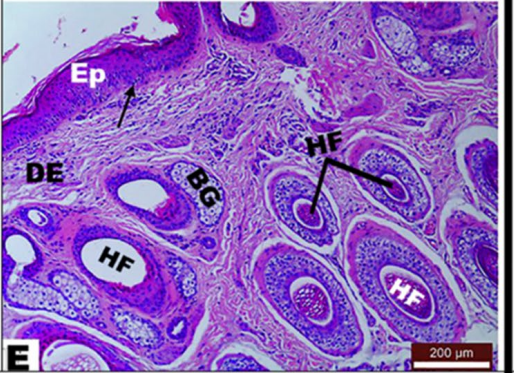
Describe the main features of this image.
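This section of skin shows a stratified squamous epidermis over a dermis crowded with hair follicles and sebaceous glands. The epidermis is a purple layer of several cell rows with a thin pink keratin surface. In the dermis, hair follicles are cut across and obliquely, each a ring of closely packed purple epithelial cells around a central hair or lumen, set in pink collagen. Beside the follicles lie lobules of large pale cells with foamy, vacuolated cytoplasm, the sebaceous glands.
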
